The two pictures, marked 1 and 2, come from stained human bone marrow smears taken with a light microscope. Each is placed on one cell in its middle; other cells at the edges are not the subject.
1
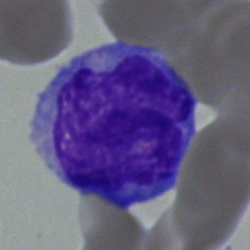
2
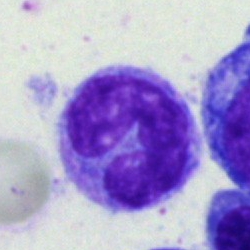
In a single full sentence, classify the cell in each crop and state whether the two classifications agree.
Yes, both crops show monocytes, and that holds for each one.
